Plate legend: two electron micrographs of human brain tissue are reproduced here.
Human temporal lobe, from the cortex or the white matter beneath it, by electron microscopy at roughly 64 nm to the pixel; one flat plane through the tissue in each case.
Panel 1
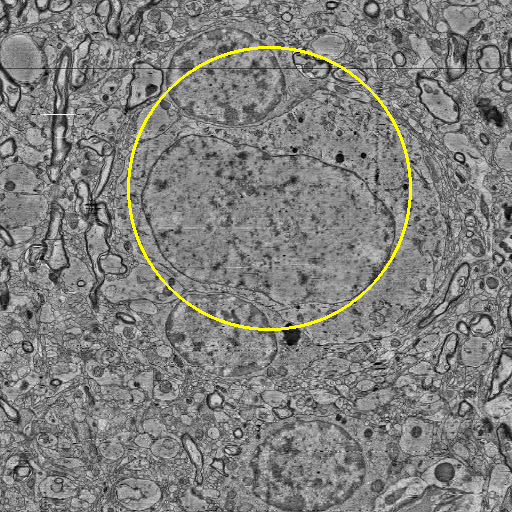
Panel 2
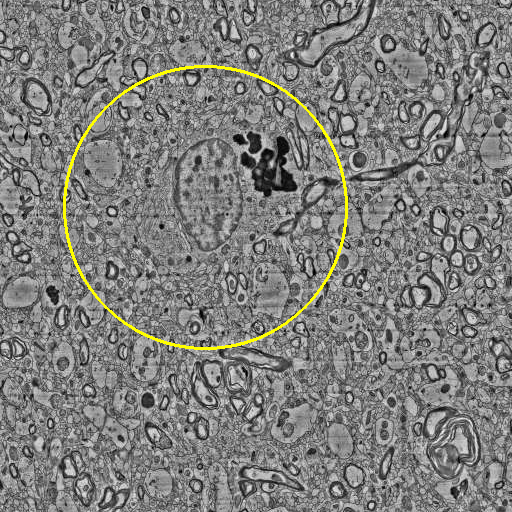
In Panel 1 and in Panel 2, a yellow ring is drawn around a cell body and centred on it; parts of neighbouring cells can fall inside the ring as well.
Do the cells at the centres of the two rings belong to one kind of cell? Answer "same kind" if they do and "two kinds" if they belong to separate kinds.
two kinds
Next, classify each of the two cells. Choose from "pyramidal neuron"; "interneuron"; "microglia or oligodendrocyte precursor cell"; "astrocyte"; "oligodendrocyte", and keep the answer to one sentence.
In the first picture it is a pyramidal neuron; in the second it is an oligodendrocyte.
